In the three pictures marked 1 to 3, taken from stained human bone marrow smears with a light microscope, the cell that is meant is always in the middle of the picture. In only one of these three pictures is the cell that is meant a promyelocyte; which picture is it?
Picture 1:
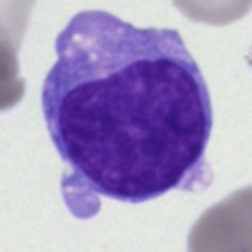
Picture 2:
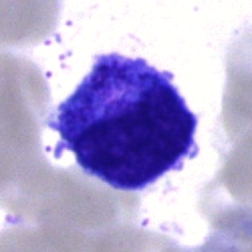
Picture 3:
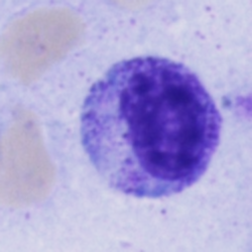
2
